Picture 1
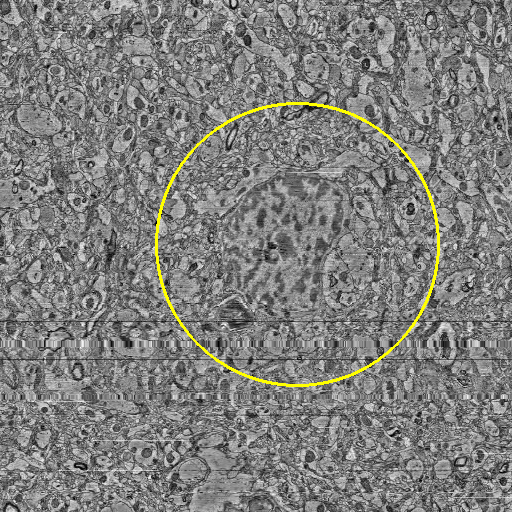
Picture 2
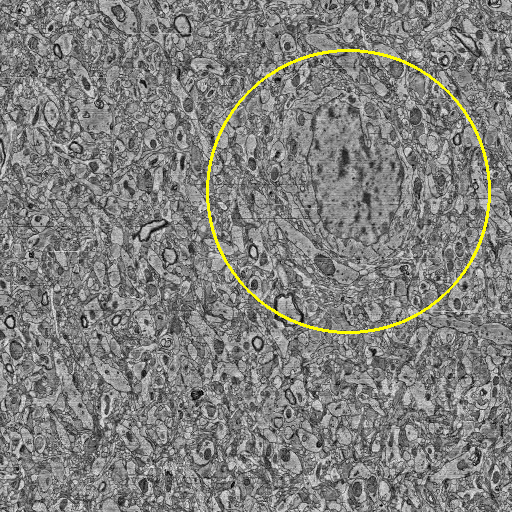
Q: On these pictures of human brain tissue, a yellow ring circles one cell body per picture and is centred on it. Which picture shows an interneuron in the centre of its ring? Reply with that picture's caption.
Picture 2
